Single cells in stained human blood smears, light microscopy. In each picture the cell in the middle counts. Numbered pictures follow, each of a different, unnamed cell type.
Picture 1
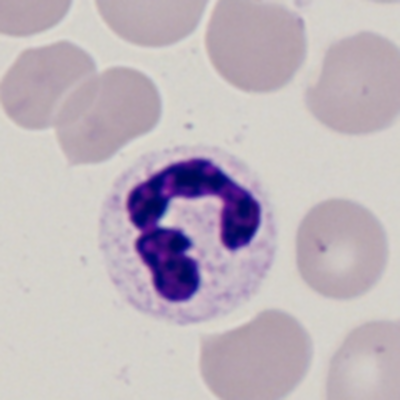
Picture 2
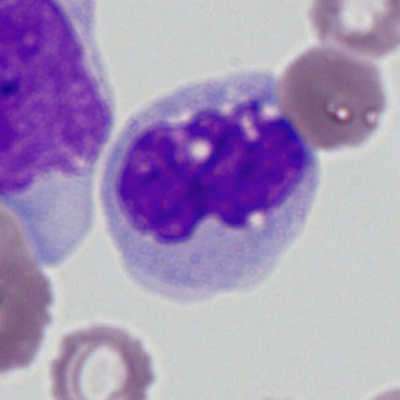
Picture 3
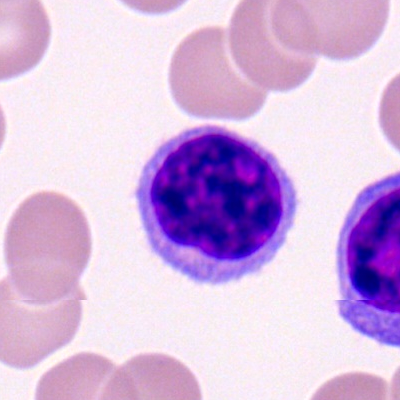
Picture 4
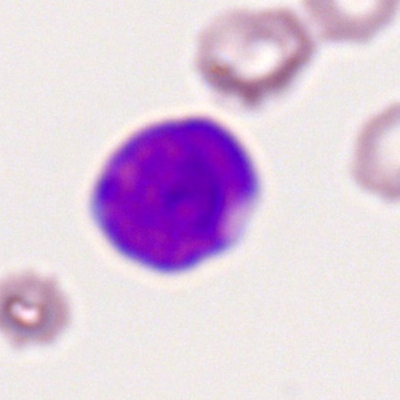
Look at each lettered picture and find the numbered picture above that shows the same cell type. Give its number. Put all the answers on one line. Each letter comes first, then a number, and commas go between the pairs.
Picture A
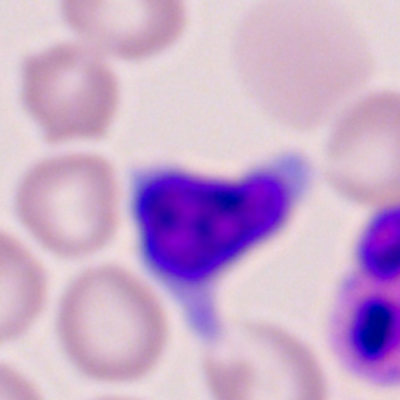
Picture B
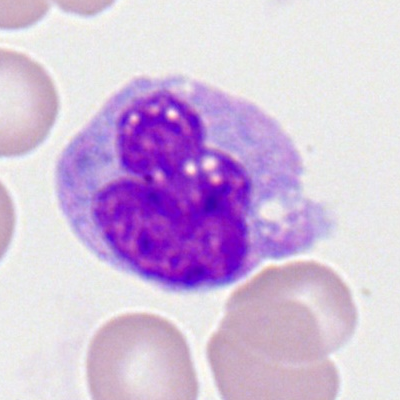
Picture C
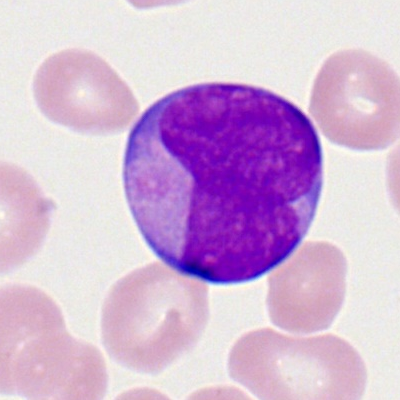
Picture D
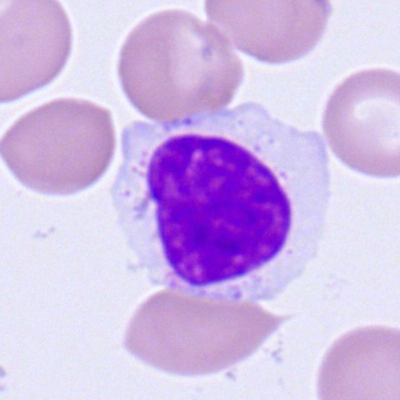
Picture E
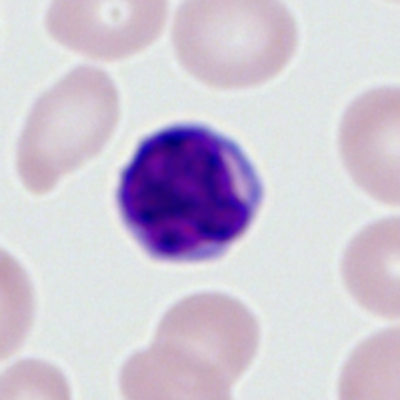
A 3, B 2, C 4, D 3, E 3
